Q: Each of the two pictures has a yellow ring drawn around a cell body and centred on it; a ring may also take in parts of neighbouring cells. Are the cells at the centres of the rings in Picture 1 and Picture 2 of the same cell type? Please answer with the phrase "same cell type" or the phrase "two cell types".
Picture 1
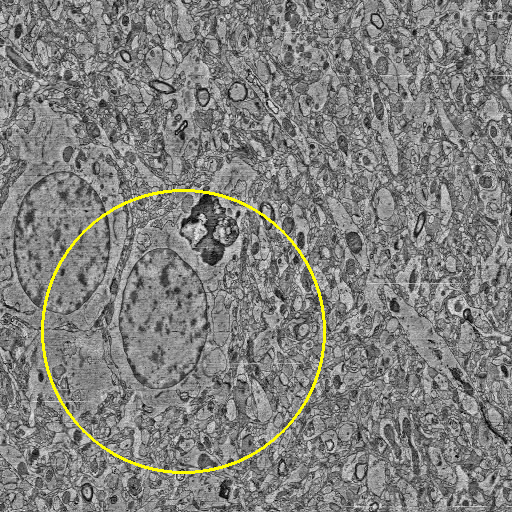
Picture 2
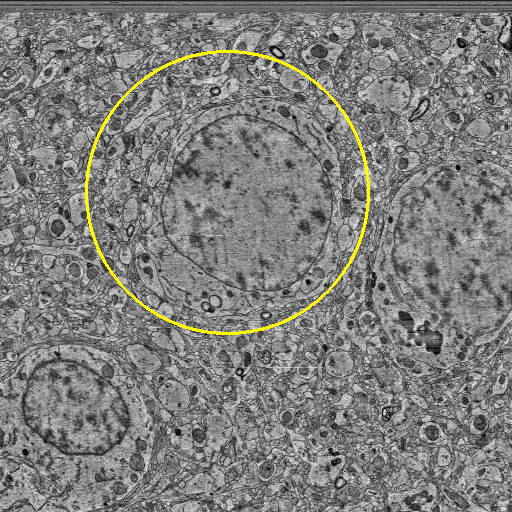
two cell types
